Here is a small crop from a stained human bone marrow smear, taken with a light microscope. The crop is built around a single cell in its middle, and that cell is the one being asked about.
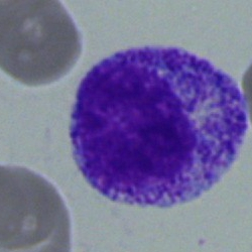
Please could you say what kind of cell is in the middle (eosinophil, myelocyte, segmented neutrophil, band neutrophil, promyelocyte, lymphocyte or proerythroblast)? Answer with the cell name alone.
myelocyte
